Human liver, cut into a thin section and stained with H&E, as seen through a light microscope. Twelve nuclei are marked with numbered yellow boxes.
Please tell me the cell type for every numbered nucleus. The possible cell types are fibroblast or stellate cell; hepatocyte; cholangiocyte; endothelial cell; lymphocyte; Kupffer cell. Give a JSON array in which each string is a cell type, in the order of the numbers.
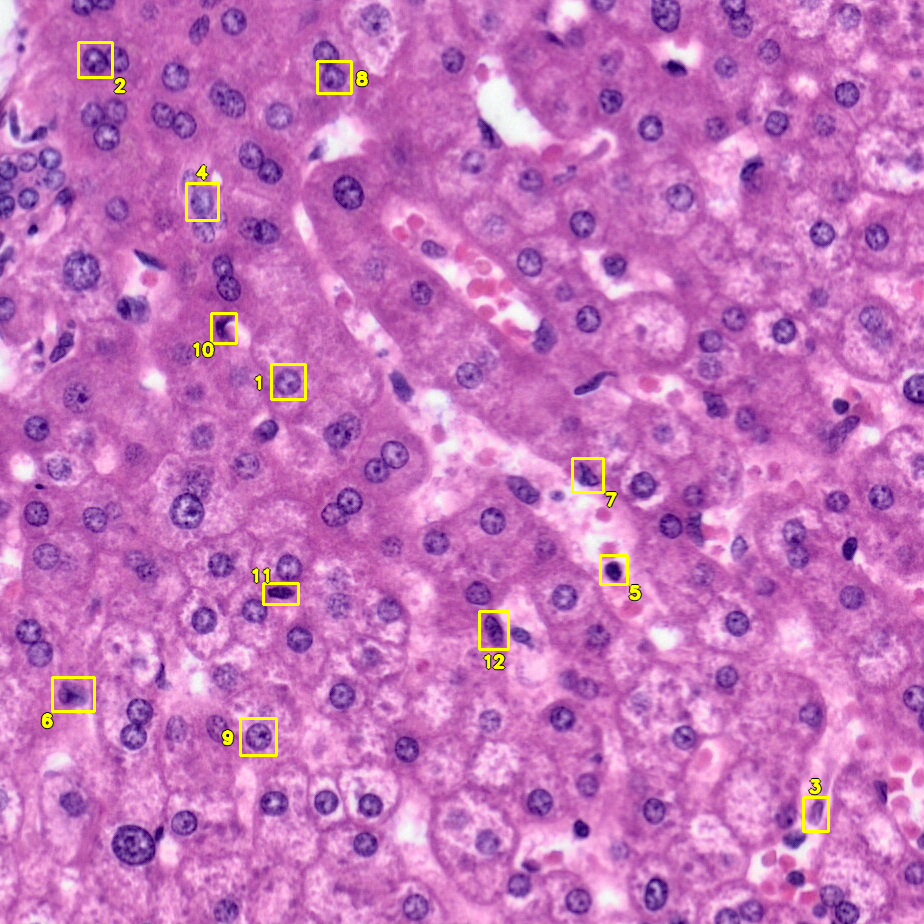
["hepatocyte", "hepatocyte", "Kupffer cell", "cholangiocyte", "lymphocyte", "endothelial cell", "endothelial cell", "hepatocyte", "hepatocyte", "fibroblast or stellate cell", "fibroblast or stellate cell", "fibroblast or stellate cell"]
